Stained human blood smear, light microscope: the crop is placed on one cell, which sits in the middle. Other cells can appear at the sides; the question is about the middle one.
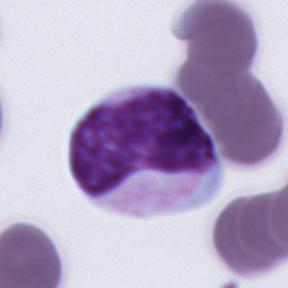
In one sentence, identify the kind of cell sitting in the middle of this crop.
Among the cells in view, the one in the middle is a band neutrophil.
